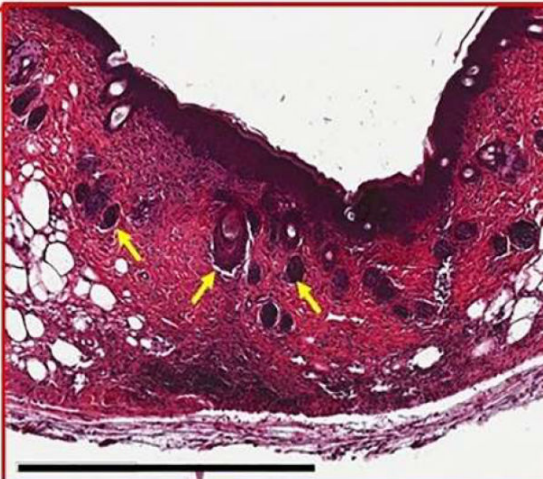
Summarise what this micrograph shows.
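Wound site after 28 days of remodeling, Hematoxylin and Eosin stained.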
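Skin with a dark purple epidermis on top and a dense, deep pink collagen-rich dermis beneath. Along the left side, clusters of large empty white rounded fat cells border the dermis. A thin paler, looser fibrous layer runs along the bottom of the section.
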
